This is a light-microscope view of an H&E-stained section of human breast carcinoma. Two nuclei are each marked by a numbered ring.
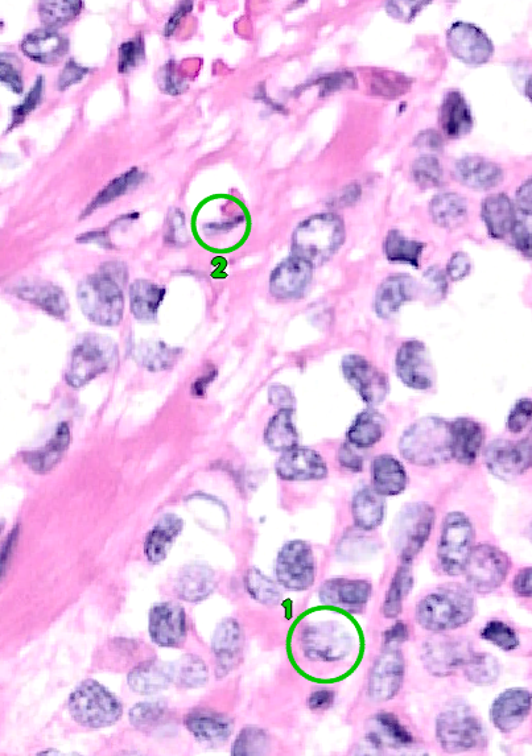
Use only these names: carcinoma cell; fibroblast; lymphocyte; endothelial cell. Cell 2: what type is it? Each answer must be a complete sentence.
Denoted by the label 2 in the section is an endothelial cell.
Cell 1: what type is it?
Heads up, the cell numbered 1 is a carcinoma cell.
